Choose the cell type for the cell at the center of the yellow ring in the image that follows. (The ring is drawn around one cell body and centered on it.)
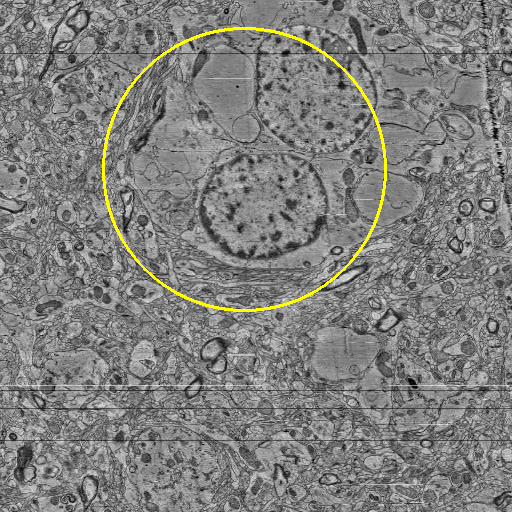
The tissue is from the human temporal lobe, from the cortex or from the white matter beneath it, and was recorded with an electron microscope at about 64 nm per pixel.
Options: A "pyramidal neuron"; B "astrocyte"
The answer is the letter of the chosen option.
B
